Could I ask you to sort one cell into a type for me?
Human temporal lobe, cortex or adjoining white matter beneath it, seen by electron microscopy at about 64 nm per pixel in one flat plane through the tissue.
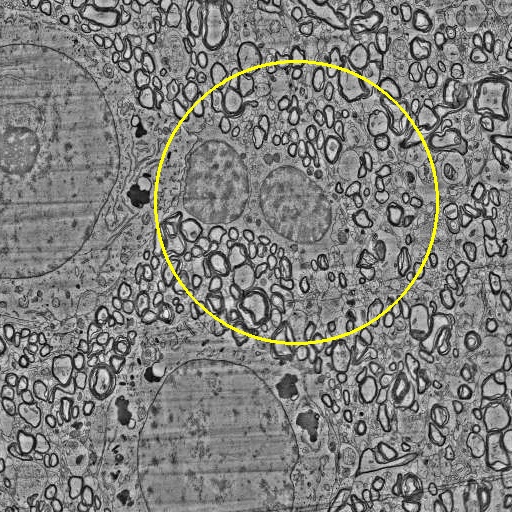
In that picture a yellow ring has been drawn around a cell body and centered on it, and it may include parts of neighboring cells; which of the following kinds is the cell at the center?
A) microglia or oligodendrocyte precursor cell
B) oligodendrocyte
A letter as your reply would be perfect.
B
